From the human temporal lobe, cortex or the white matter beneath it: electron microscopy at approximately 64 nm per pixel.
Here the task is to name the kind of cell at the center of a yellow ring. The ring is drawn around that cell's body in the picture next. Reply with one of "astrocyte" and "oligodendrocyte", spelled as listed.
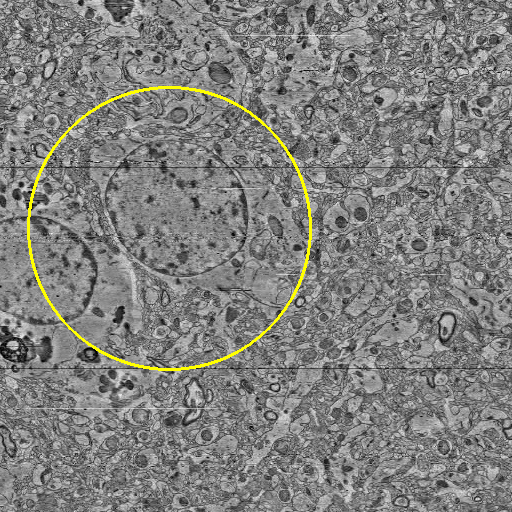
astrocyte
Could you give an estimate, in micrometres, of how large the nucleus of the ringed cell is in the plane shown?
About 9 micrometres across in this plane.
